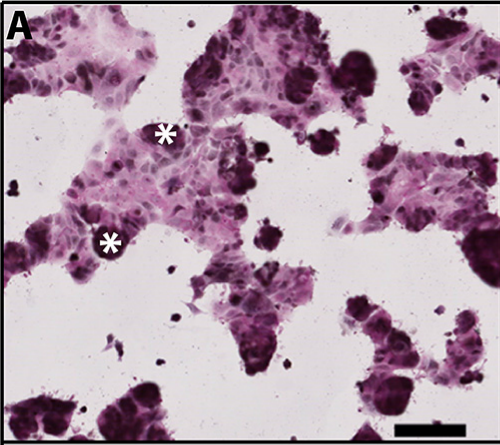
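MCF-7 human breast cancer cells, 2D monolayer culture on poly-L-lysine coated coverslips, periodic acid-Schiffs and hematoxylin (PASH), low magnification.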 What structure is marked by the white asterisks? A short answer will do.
Aggregates of cells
